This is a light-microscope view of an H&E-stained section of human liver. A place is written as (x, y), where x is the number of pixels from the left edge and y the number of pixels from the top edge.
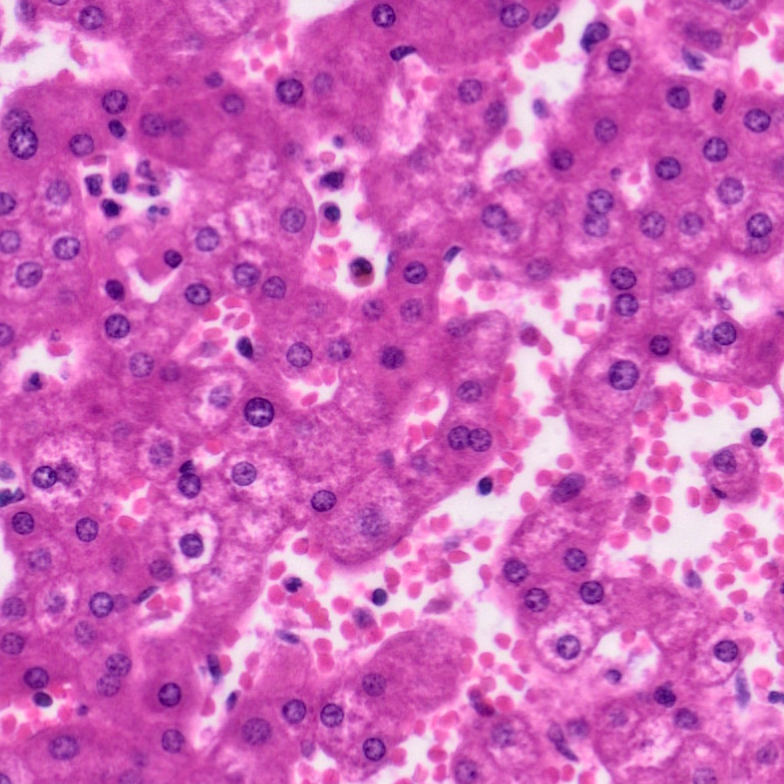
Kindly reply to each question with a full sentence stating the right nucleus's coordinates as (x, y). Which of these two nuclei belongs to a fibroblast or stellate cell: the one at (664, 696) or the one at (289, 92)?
The nucleus of a fibroblast or stellate cell is the one found at (664, 696), not the other.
